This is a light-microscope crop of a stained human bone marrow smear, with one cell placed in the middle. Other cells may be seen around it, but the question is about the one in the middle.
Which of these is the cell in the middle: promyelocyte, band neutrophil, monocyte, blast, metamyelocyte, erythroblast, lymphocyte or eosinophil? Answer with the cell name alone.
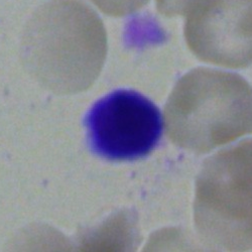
lymphocyte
